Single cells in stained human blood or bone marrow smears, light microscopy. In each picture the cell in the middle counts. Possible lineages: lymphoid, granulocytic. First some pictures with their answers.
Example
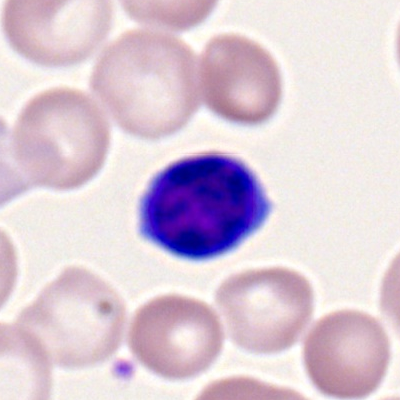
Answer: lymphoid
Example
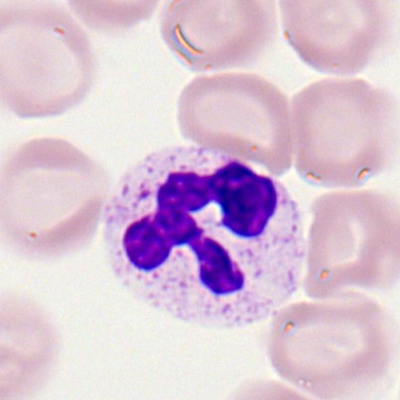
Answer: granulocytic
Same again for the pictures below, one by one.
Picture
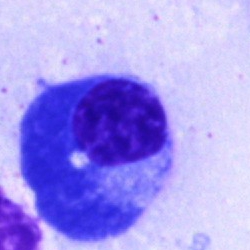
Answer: lymphoid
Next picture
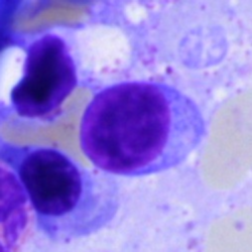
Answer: lymphoid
